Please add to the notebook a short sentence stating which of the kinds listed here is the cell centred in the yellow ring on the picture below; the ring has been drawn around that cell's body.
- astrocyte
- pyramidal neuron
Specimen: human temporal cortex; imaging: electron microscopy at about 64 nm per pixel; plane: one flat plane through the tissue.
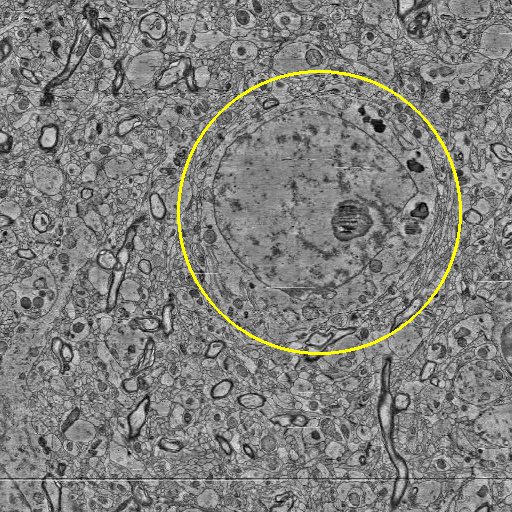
The cell centred in the yellow ring is a pyramidal neuron.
